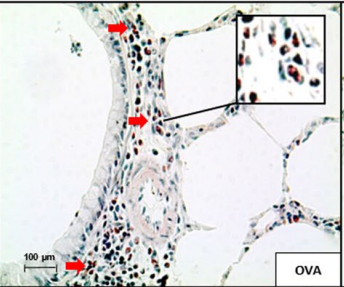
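The airway is lined by a layer of columnar epithelial cells with pale cytoplasm. Beneath and around the epithelium the connective tissue is thickened and packed with small cells with dark nuclei. Many of these cells carry red-stained cytoplasm, and red arrows point to them. The enlarged inset shows a group of these red cells side by side, while thin-walled alveolar spaces lie to the right.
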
